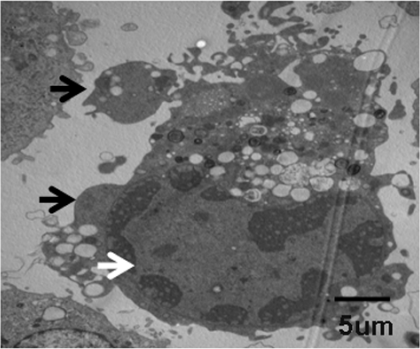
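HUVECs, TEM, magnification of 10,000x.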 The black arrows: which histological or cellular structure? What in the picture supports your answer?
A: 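The arrows point to rounded membrane-bound protrusions budding from the cell edge. The protrusions contain cytoplasm and small vacuoles. On this evidence: apoptotic body.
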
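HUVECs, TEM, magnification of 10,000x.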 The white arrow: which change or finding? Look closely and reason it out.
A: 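The nucleus contains large, very dark clumps of condensed chromatin. The cytoplasm around it is crowded with vacuoles. The answer: nucleus pycnosis.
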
